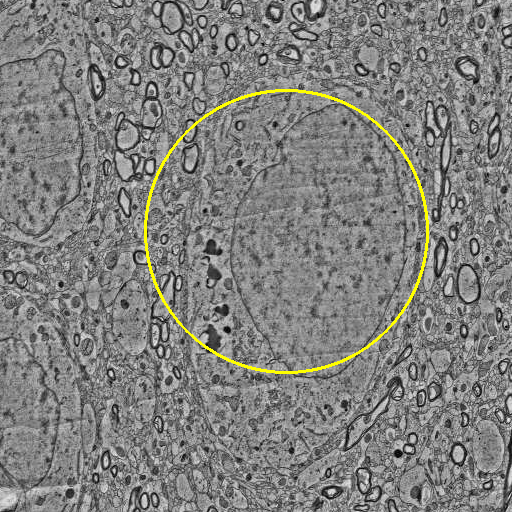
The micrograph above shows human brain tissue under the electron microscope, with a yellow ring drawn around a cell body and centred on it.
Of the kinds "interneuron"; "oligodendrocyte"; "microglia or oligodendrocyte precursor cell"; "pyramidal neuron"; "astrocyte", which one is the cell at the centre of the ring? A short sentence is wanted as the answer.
The one at the centre of the ring is a pyramidal neuron.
